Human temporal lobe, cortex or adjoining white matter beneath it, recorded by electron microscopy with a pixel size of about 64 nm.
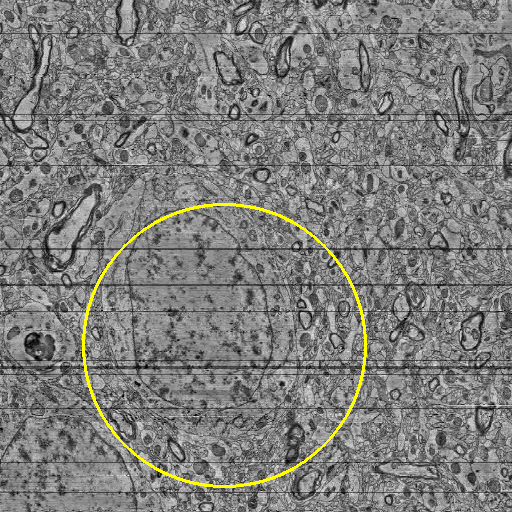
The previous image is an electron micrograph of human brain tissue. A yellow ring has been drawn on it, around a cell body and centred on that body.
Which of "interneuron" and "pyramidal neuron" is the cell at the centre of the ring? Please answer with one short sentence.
The cell body at the centre of the ring belongs to a pyramidal neuron.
